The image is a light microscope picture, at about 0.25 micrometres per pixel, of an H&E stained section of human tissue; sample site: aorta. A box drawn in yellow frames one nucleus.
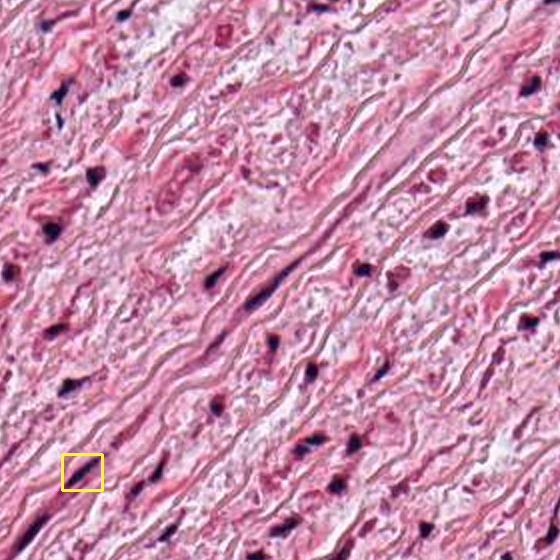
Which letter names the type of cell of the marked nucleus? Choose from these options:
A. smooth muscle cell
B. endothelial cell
A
